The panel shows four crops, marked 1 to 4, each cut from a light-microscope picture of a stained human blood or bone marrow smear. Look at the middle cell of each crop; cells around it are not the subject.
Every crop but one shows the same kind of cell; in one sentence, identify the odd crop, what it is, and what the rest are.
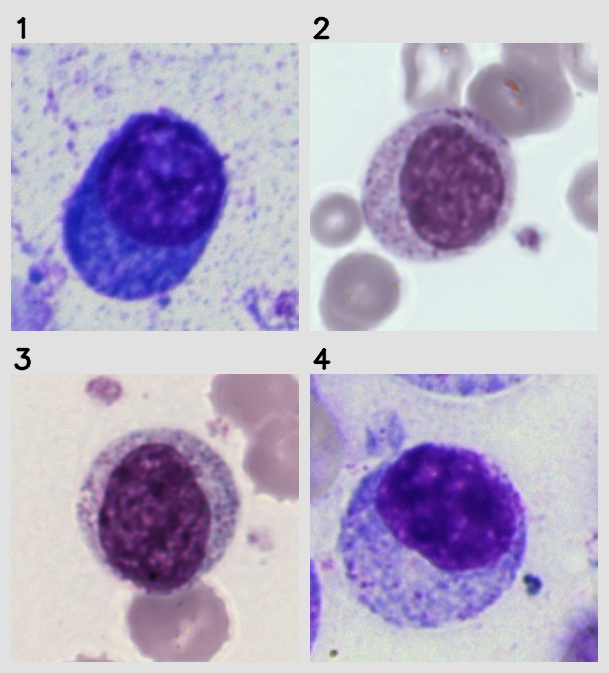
Shown in crop 1 is a plasma cell, in contrast to the myelocytes of all the other crops.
